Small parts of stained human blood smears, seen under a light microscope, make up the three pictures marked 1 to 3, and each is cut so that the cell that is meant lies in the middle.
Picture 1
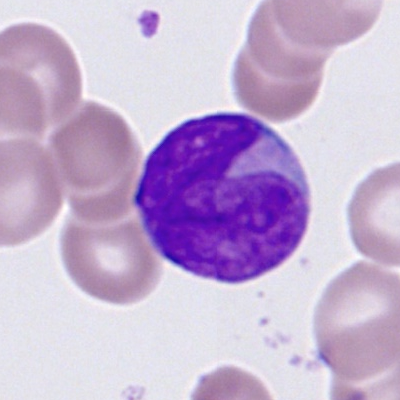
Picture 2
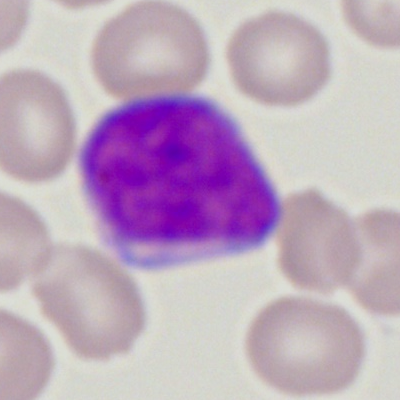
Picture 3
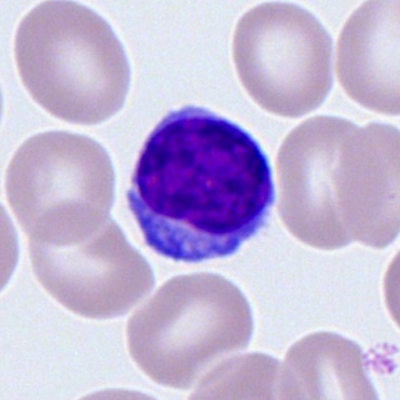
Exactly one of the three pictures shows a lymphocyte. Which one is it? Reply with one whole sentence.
Picture 3 is the one that shows the lymphocyte.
